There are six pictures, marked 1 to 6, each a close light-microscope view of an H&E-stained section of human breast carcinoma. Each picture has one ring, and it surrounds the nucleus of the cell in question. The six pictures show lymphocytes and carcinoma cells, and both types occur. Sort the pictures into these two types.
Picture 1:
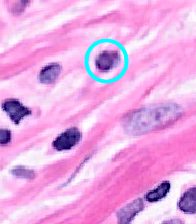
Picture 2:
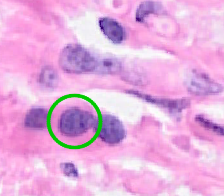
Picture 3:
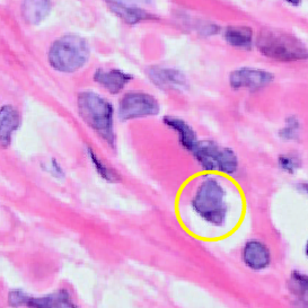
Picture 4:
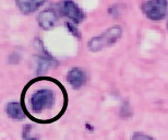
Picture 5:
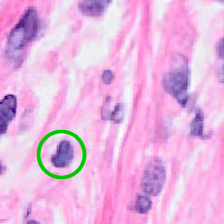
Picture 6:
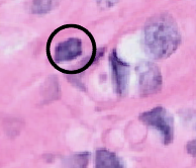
1: lymphocyte
2: carcinoma cell
3: carcinoma cell
4: lymphocyte
5: lymphocyte
6: lymphocyte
